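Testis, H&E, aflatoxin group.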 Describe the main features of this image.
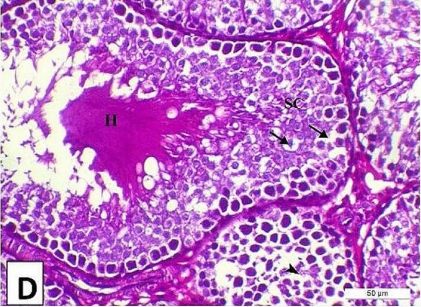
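In the largest tubule the lumen is occupied by a homogeneous, deep pink, structureless mass of hyalinization, with a few round clear holes in it, in place of the usual sperm bundles. The multilayered spermatogenic lining looks loosened and paler, its cells separated by small clear vacuoles. The basal layer of round nuclei still lines the thin tubule wall, and pink interstitial tissue lies between the tubules. A neighbouring tubule also shows pale, loosened epithelium.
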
